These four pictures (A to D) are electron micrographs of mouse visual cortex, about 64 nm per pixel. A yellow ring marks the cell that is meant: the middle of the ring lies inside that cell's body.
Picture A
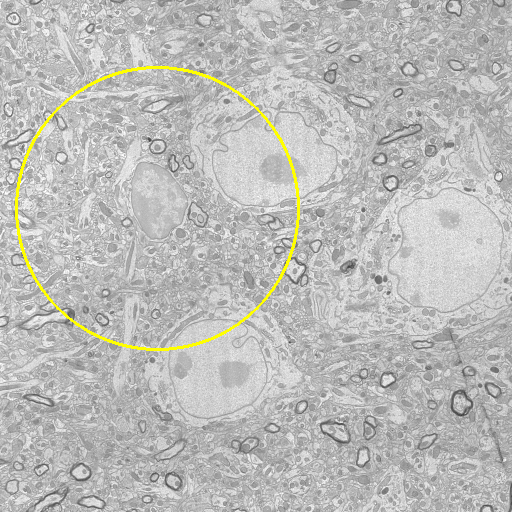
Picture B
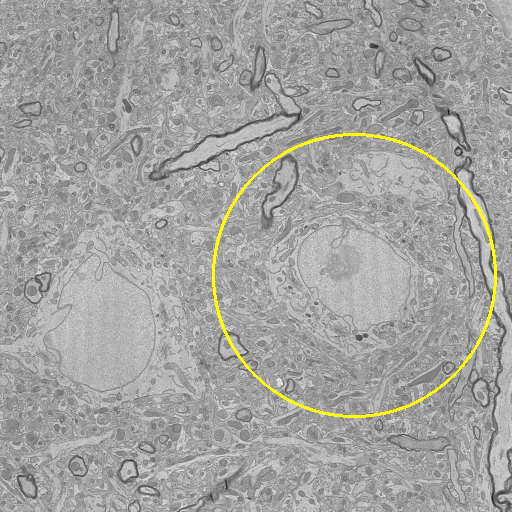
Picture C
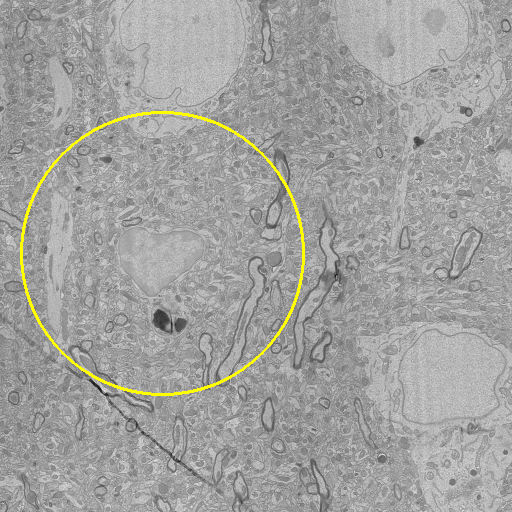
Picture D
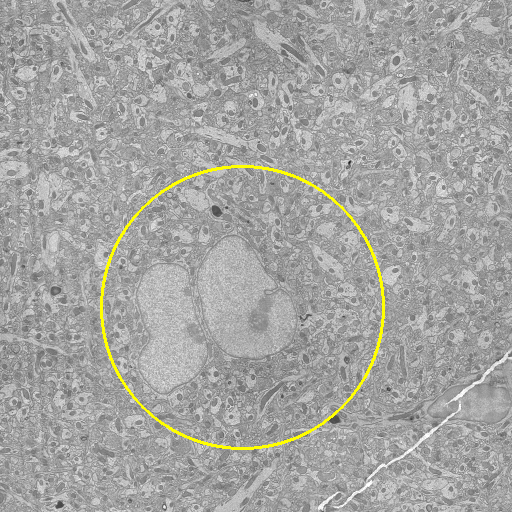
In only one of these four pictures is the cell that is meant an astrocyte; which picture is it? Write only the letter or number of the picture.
D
